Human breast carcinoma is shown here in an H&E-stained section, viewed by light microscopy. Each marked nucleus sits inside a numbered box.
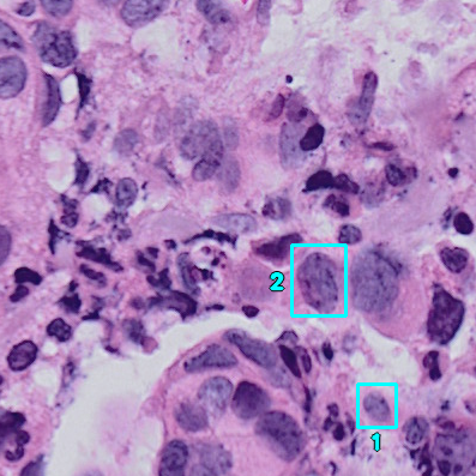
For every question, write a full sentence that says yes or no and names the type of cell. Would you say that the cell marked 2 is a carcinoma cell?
Yes, in this section the cell with number 2 is a carcinoma cell.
